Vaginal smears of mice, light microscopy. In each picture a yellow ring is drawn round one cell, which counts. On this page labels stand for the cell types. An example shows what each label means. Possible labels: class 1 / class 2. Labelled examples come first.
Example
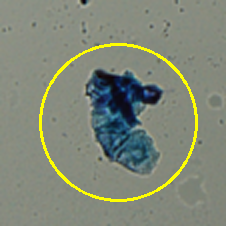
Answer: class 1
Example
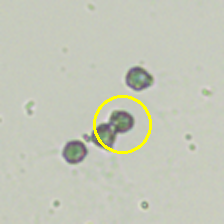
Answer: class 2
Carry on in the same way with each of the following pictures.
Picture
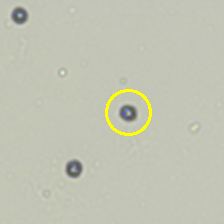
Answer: class 2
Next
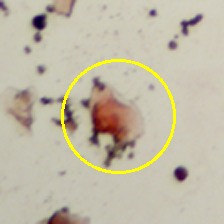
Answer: class 1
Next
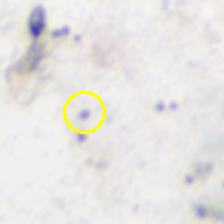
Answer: class 2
